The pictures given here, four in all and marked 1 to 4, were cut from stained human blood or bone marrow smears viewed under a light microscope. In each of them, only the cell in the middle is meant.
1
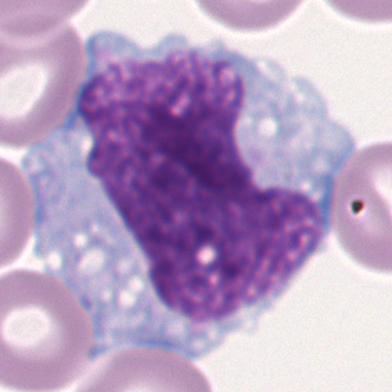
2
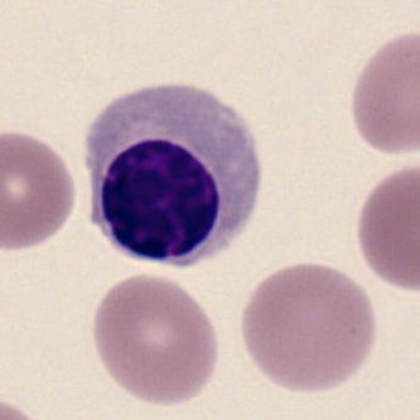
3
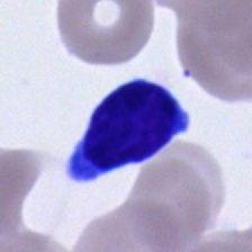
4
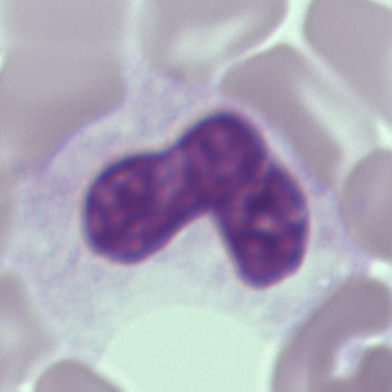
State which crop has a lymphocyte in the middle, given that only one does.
3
